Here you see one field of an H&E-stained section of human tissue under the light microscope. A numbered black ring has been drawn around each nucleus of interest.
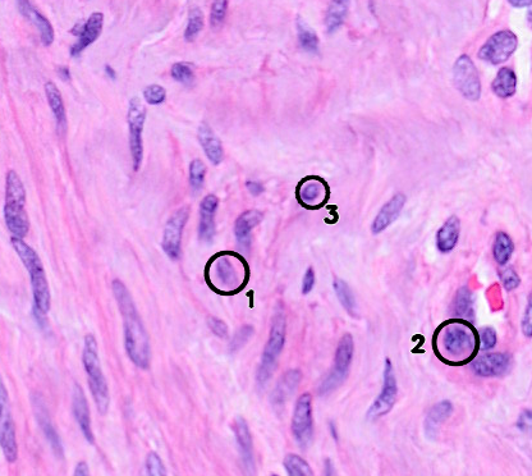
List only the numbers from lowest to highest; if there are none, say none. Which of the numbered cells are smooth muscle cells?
1, 3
